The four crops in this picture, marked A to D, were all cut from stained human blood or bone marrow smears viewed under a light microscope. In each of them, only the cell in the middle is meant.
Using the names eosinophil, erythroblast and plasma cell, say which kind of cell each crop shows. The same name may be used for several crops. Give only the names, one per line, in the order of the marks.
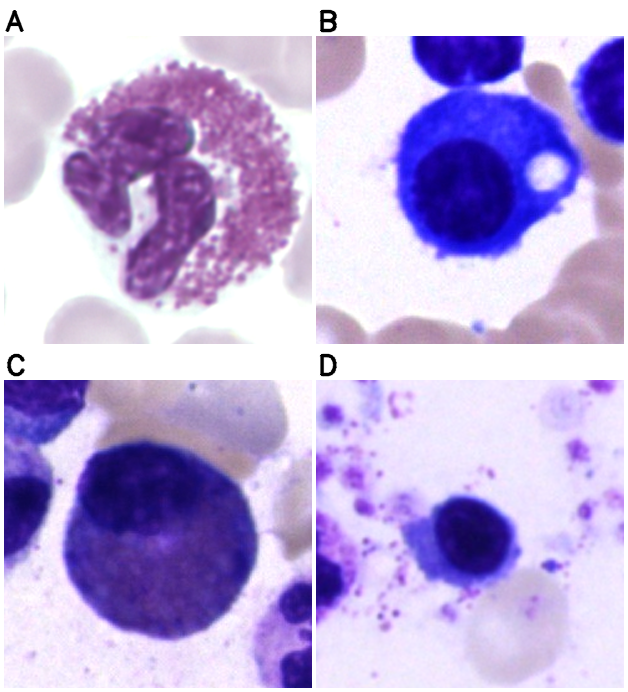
eosinophil
plasma cell
eosinophil
erythroblast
